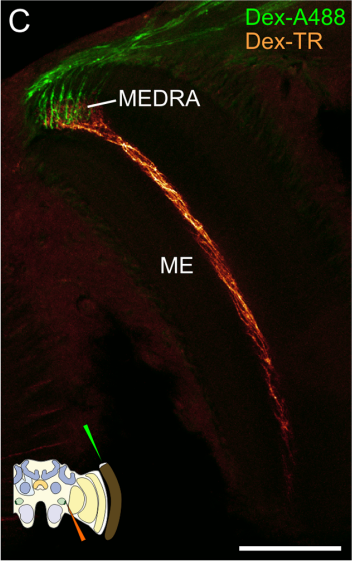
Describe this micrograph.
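Green fibres enter from the dorsal margin and end in a small dorsal region at the edge of the medulla, where orange fibres also branch. A bundle of orange fibres runs from there along the curved outline of the medulla downwards.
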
